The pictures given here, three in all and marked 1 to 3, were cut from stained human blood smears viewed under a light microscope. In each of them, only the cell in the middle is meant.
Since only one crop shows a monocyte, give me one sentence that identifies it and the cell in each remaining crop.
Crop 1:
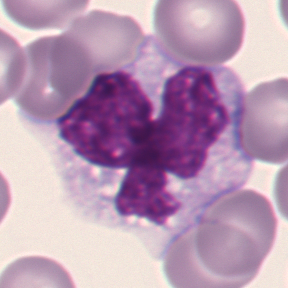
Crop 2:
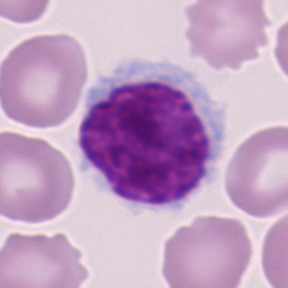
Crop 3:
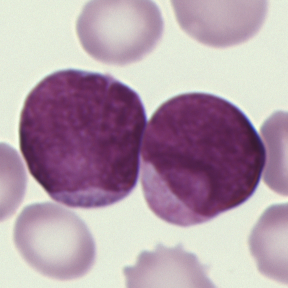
The central cell in crop 1 is a monocyte, whereas crop 2 is a hairy cell and crop 3 is a blast.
